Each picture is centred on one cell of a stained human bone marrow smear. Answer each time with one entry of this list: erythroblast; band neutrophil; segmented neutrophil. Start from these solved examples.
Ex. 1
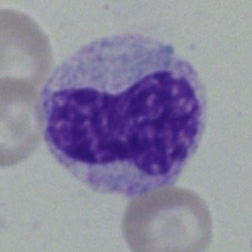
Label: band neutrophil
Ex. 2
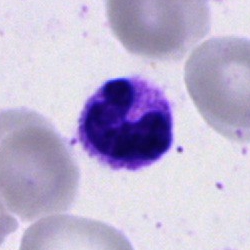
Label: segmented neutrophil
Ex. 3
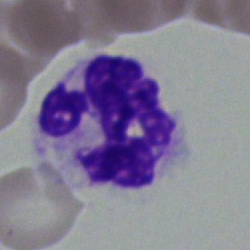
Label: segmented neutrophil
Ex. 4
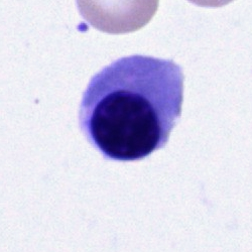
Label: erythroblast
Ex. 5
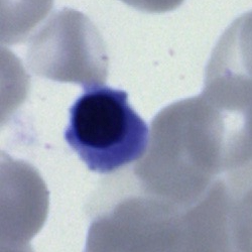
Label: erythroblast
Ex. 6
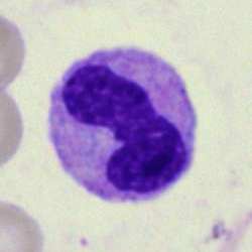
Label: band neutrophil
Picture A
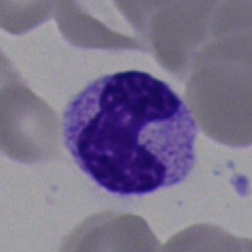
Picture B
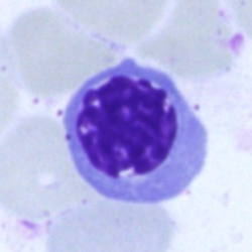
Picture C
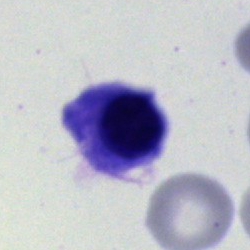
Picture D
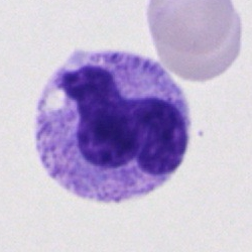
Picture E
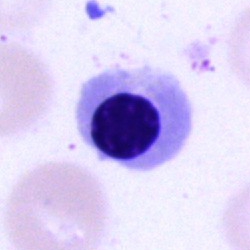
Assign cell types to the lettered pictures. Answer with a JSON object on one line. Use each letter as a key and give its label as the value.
{"A": "band neutrophil", "B": "erythroblast", "C": "erythroblast", "D": "band neutrophil", "E": "erythroblast"}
